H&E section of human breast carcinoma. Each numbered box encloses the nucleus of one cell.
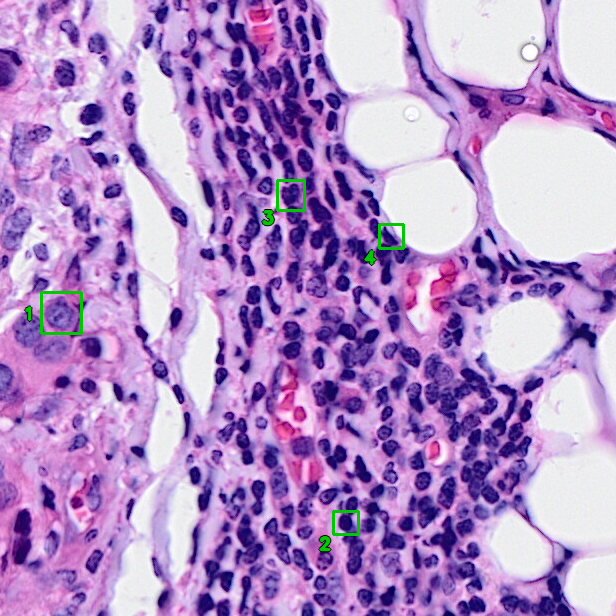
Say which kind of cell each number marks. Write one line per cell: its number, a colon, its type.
1: carcinoma cell
2: lymphocyte
3: lymphocyte
4: lymphocyte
